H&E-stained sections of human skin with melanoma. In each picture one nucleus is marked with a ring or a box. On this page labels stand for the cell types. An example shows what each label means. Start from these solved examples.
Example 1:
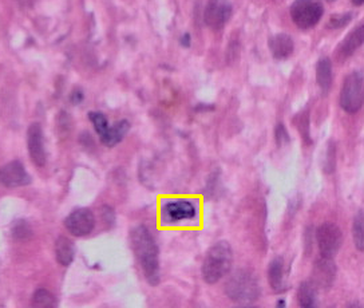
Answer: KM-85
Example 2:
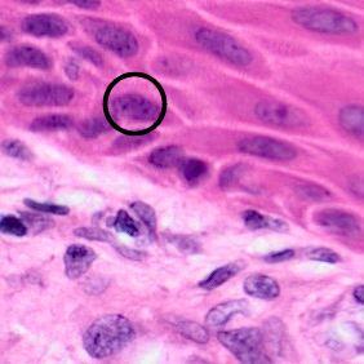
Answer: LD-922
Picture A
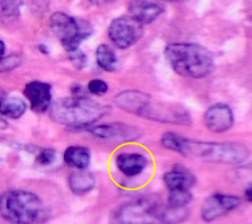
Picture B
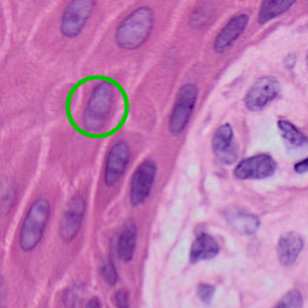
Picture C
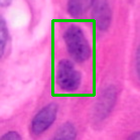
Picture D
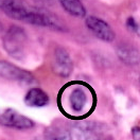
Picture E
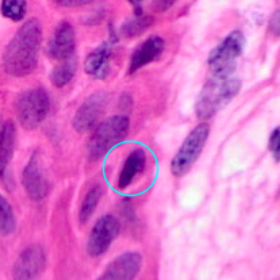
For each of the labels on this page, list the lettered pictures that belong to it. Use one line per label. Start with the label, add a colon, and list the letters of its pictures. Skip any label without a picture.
KM-85: A, D
LD-922: B, C, E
